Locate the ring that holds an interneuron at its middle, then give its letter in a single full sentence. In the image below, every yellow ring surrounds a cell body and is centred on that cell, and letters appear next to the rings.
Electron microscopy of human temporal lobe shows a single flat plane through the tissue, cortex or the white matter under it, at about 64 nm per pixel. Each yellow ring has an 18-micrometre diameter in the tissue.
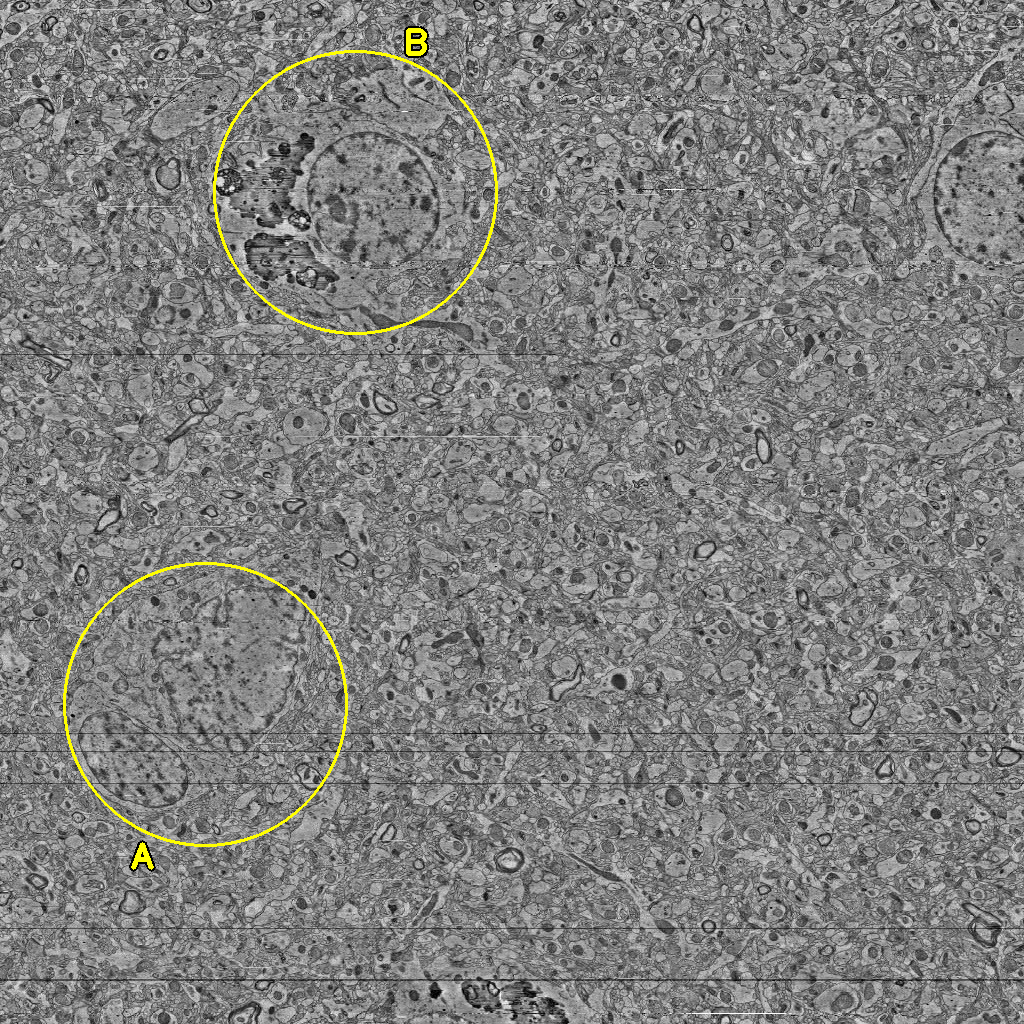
Ring A is the one centred on that kind of cell in the image.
